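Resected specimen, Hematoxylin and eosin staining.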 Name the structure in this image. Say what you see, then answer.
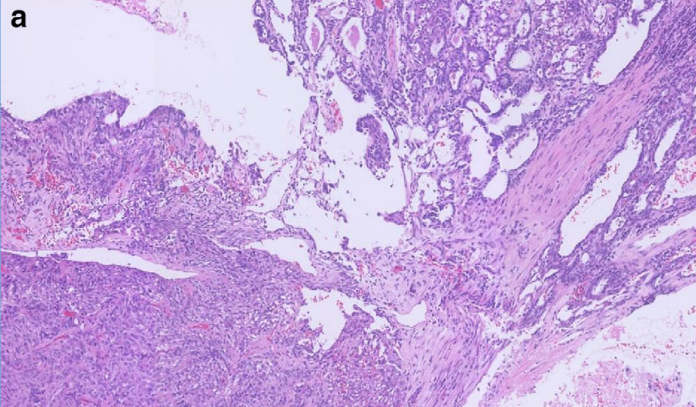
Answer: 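Sheets and nests of tumor cells. Densely packed purple cells form a solid sheet at lower left. Smaller irregular clusters and glandular-looking nests lie at upper right. Pink fibrous stroma with spindle cells runs between the cell groups.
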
